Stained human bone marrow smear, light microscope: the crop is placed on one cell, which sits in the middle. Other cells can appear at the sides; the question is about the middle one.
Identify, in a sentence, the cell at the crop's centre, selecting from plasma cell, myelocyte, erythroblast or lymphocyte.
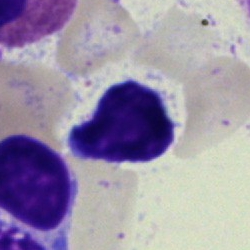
The cell at the middle of the crop is recognized as a lymphocyte.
